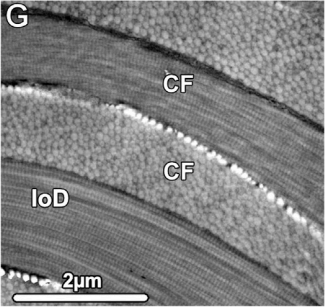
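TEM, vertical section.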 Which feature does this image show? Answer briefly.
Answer: Arranged orthogonally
